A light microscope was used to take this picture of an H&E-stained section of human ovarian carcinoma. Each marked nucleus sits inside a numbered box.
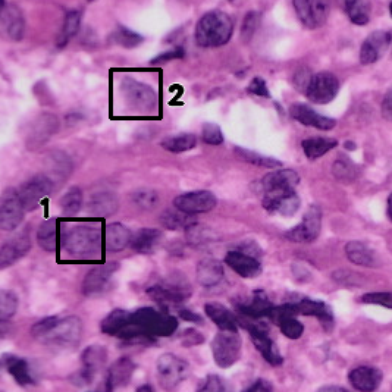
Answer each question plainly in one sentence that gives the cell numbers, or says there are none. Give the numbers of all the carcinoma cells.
Of the cells bearing numbers, the only one that is a carcinoma cell is cell 1.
